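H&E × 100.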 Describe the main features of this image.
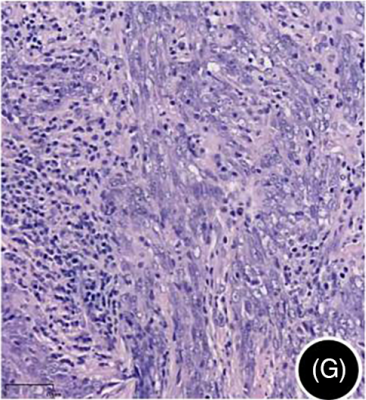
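Tumour tissue in which larger cells with eosinophilic cytoplasm and oval-to-spindle, paler nuclei run in interlacing bundles and trabecular cords. Between these cords lies a stroma crowded with small lymphocytes bearing round, dark-blue nuclei, most densely along one side of the field.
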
